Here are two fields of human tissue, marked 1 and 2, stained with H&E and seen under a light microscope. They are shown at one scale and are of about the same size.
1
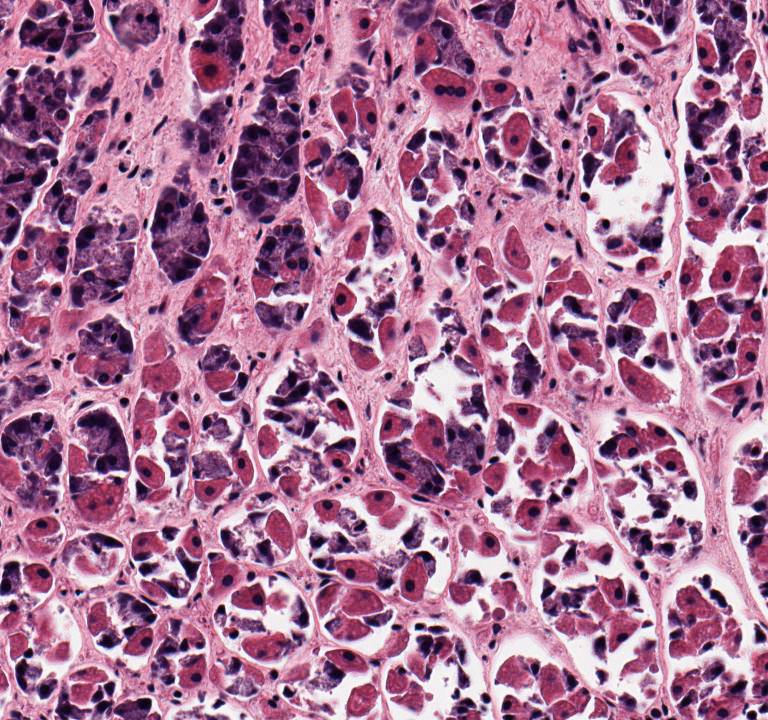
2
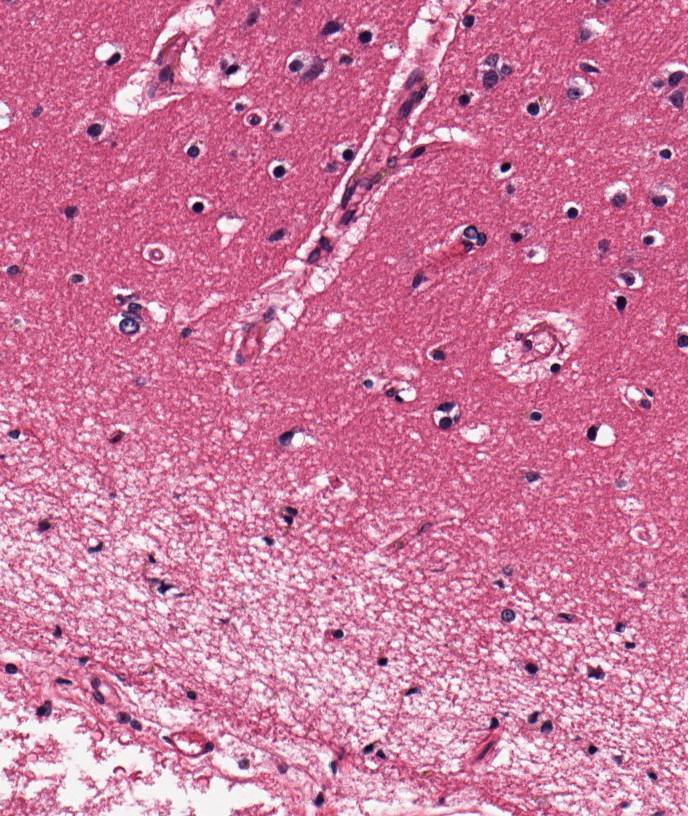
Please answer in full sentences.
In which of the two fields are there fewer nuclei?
Field 2 holds fewer nuclei than field 1.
